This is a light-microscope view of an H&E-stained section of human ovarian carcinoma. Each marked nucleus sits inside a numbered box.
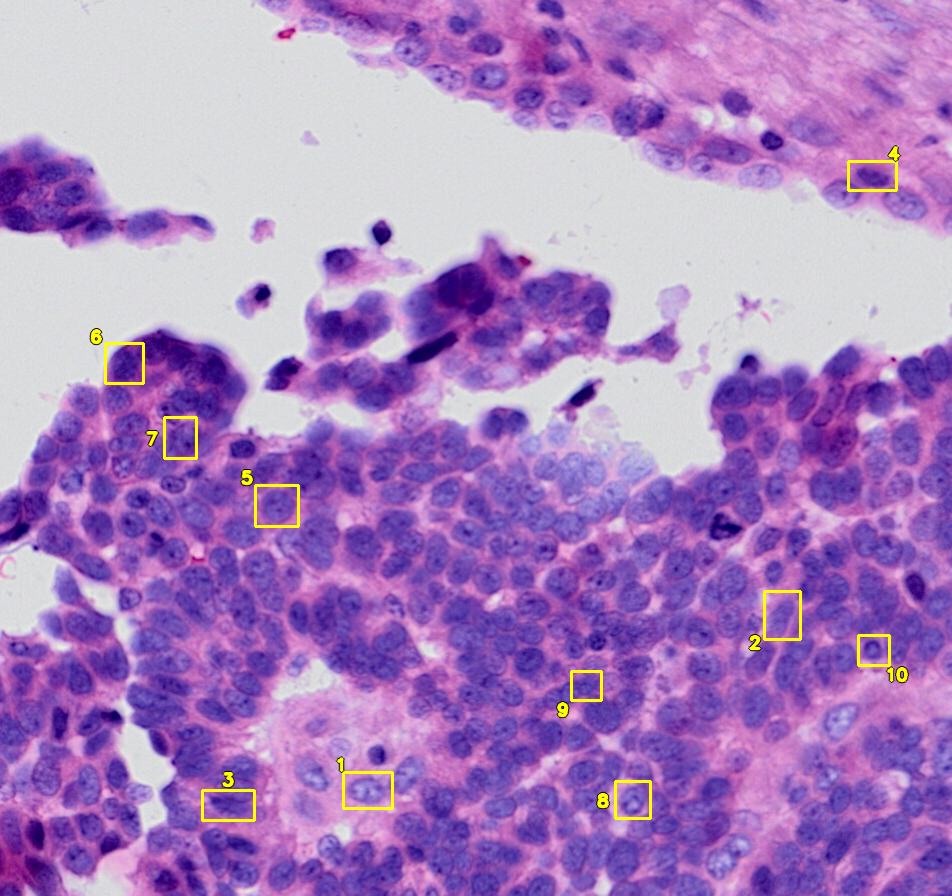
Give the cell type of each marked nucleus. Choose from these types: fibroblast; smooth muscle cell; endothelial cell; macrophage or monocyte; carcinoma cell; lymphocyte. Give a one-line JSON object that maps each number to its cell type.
{"1": "fibroblast", "2": "carcinoma cell", "3": "carcinoma cell", "4": "macrophage or monocyte", "5": "carcinoma cell", "6": "carcinoma cell", "7": "carcinoma cell", "8": "macrophage or monocyte", "9": "carcinoma cell", "10": "macrophage or monocyte"}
